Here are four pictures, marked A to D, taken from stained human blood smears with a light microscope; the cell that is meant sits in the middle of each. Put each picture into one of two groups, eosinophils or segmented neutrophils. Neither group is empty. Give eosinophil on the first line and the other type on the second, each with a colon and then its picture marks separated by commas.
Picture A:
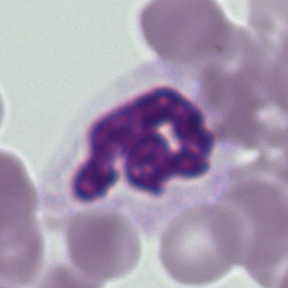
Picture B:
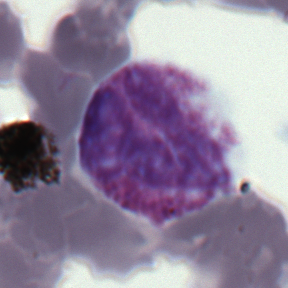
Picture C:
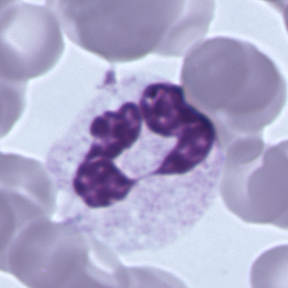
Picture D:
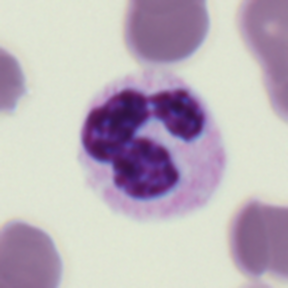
eosinophil: B
segmented neutrophil: A, C, D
